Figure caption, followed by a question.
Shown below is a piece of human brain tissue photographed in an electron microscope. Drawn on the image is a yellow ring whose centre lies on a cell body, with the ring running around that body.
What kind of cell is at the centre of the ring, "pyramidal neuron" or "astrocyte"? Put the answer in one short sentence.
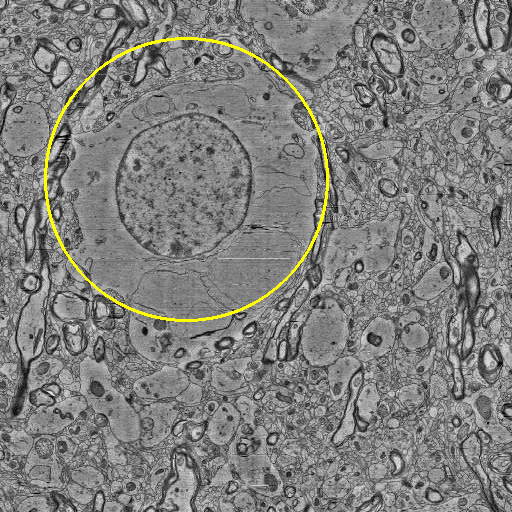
The ring marks the cell body of an astrocyte.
